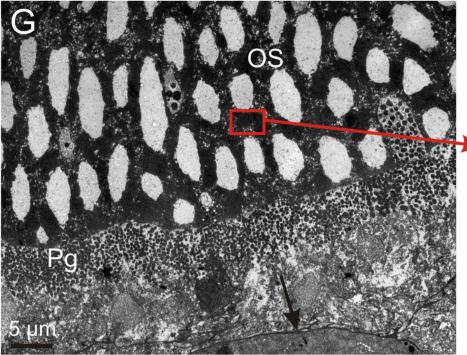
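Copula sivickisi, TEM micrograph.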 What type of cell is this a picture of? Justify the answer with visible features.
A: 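Many pale oval profiles set in rows within a dark matrix. A dense layer packed with dark granules lies beneath the pale profiles. The answer: photoreceptors.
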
